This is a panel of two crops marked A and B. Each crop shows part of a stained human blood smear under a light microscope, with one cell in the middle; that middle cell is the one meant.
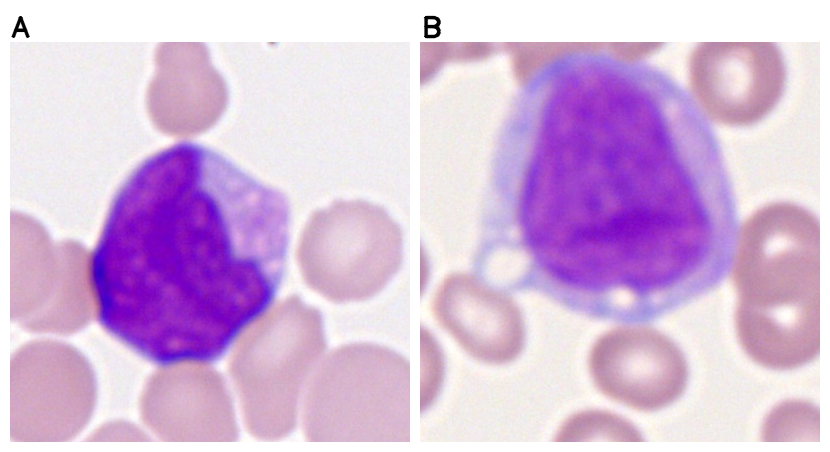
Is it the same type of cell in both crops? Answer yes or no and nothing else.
yes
